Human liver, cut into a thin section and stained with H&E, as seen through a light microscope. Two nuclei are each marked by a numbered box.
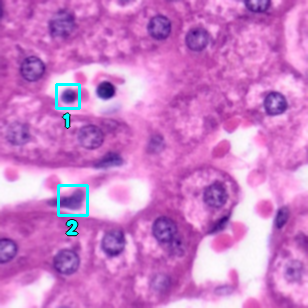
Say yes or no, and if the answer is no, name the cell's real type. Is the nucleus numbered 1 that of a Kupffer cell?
No, it is a lymphocyte.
